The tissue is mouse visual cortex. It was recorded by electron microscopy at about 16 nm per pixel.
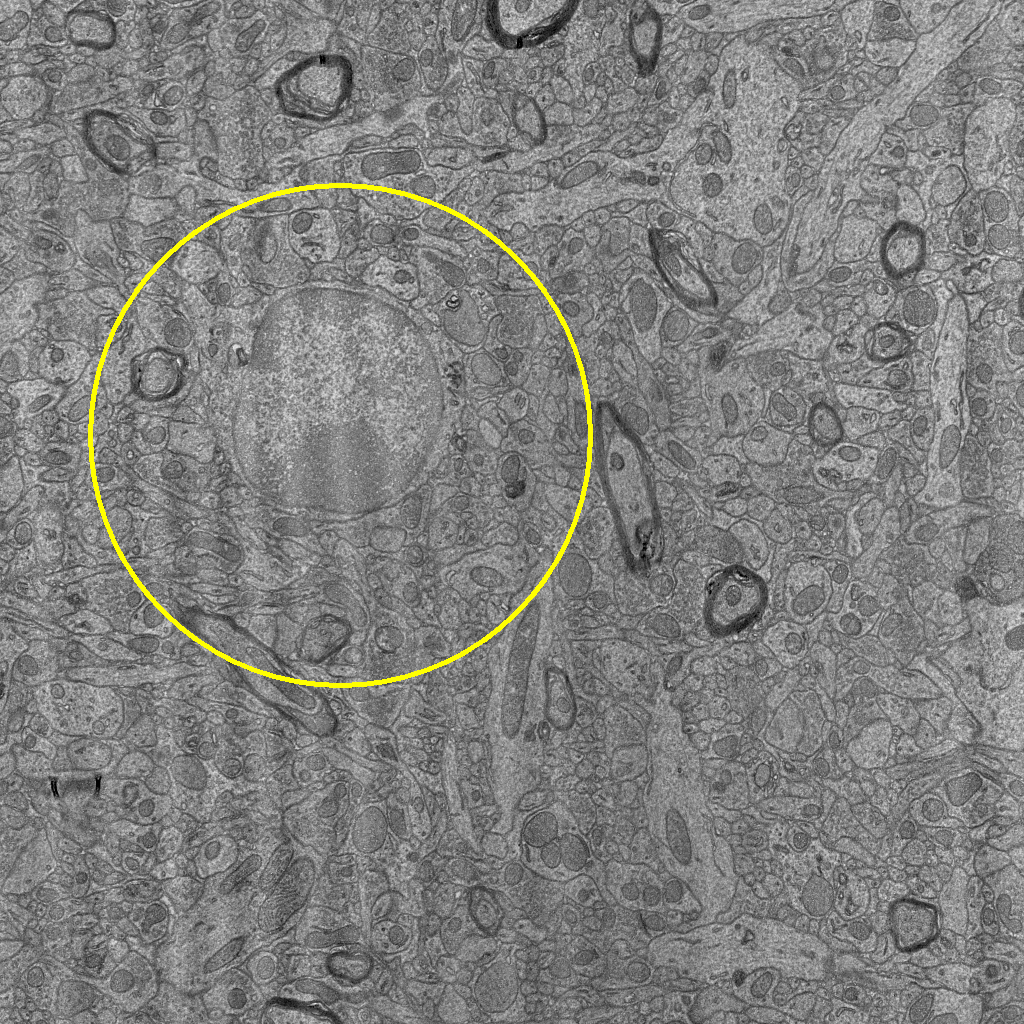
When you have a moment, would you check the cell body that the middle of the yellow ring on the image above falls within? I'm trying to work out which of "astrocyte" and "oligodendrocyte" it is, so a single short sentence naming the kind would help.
This cell body belongs to an oligodendrocyte.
